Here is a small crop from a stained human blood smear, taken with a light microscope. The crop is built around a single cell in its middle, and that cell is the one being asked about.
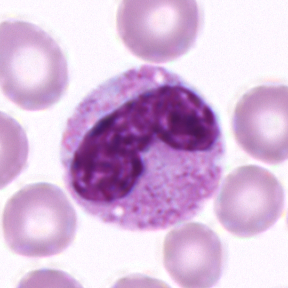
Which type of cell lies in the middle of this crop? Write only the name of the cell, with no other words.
band neutrophil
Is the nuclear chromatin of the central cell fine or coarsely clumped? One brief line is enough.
Thanks for asking; the chromatin is coarsely clumped.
